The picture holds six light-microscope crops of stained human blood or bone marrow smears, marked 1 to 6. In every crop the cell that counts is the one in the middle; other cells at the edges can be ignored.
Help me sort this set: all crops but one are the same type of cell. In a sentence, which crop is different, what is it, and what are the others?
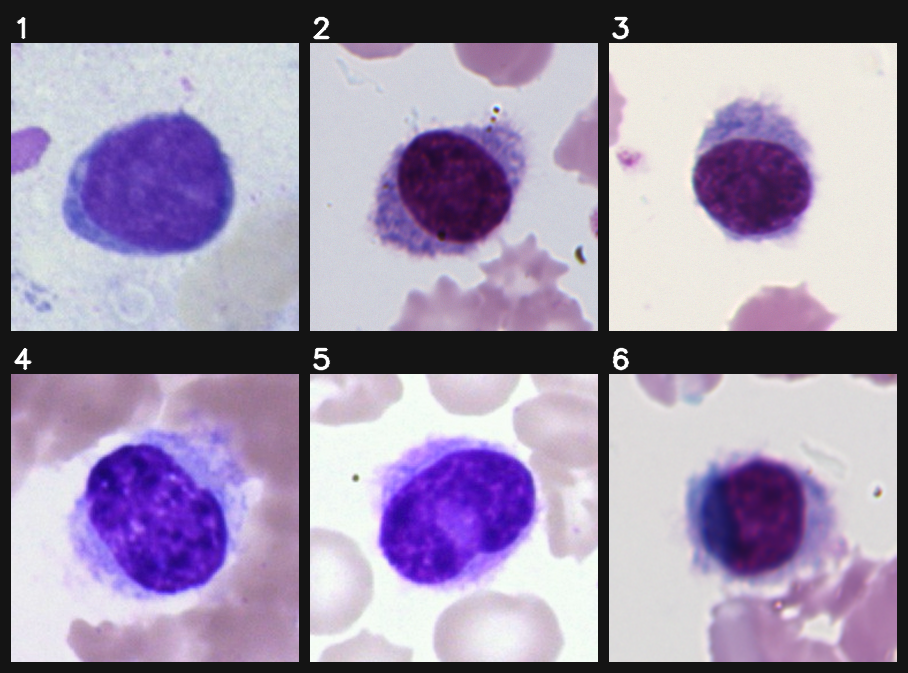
Crop 1 differs, its cell being a blast, whereas the other crops show hairy cells.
